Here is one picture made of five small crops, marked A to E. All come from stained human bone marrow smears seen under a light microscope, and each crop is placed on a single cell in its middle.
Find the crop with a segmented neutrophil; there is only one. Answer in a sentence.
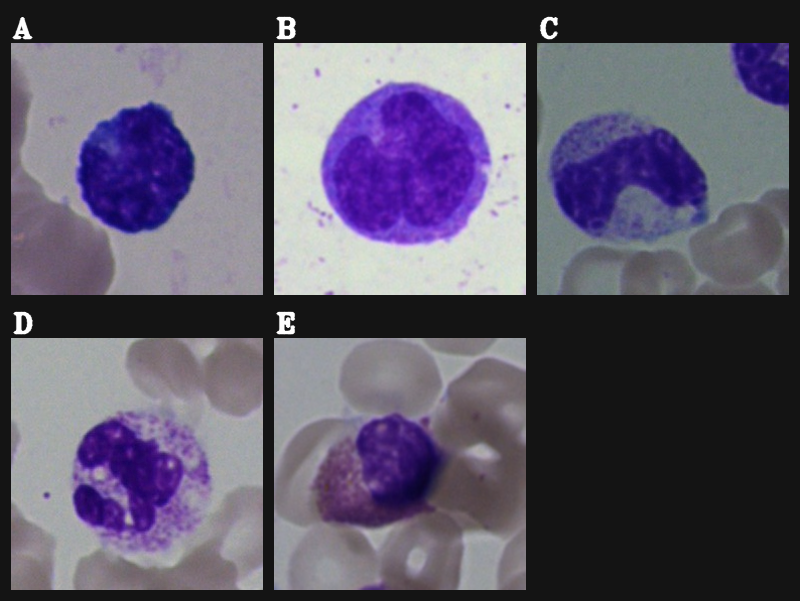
The crop in which a segmented neutrophil is shown is crop D.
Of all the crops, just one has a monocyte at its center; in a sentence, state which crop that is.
Of the cells presented, the one in crop B is a monocyte.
